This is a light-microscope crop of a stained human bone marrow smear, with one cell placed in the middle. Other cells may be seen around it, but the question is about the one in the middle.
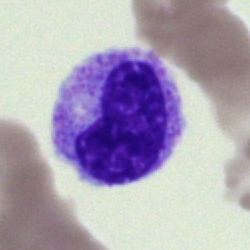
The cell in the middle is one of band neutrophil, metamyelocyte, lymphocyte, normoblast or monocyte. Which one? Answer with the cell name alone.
metamyelocyte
